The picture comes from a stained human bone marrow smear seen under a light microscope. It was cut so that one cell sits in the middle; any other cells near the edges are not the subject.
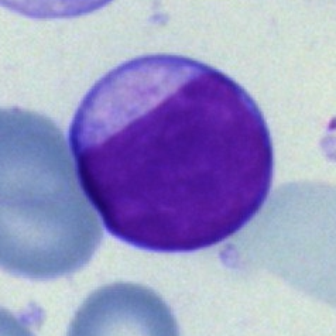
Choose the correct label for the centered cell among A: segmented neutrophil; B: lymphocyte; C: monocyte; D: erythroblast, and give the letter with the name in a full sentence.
In this crop the central cell is a lymphocyte, which option B correctly states.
